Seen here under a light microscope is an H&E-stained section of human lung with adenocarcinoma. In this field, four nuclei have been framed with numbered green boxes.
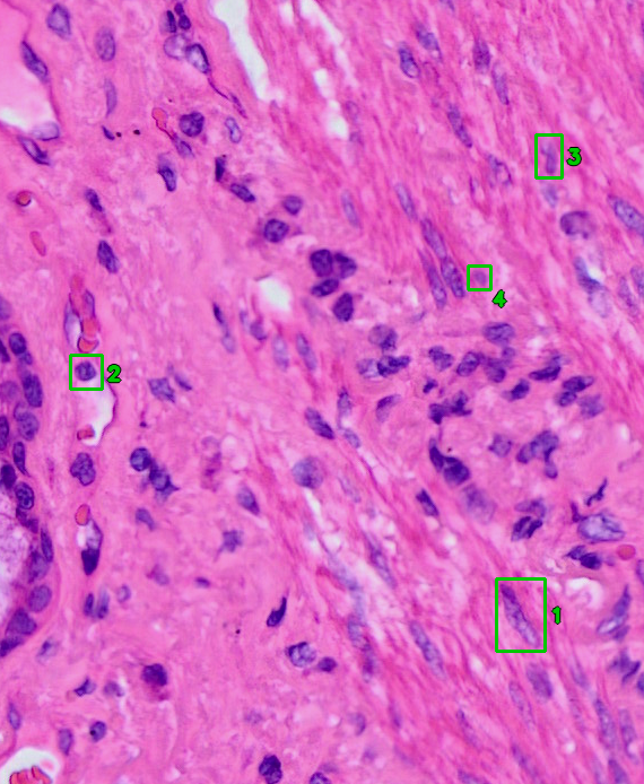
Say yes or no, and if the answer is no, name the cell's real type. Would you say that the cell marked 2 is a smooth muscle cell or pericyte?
No, it is a lymphocyte.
